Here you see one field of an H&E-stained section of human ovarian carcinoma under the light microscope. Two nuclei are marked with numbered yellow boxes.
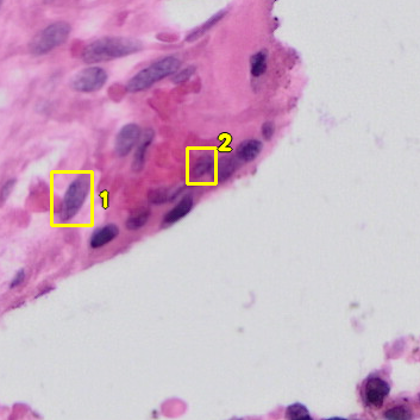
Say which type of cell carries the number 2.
endothelial cell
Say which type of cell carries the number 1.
fibroblast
